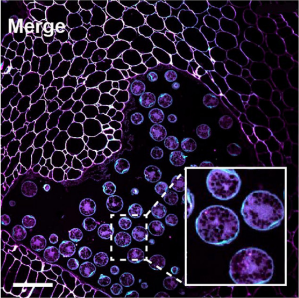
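An anther in cross section, with a large central cavity crowded with free, rounded pollen grains, and a wall of many polygonal cells around it. The grains vary somewhat in size; each has a thin bright cyan rim at its surface and a granular magenta interior, seen closely in the enlarged inset. The cells of the surrounding wall are outlined by thin walls that appear white where cyan and magenta overlap, forming a fine polygonal network.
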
